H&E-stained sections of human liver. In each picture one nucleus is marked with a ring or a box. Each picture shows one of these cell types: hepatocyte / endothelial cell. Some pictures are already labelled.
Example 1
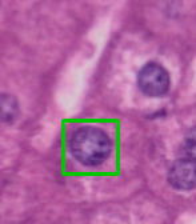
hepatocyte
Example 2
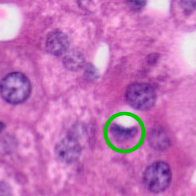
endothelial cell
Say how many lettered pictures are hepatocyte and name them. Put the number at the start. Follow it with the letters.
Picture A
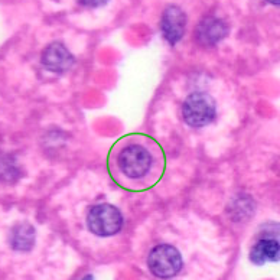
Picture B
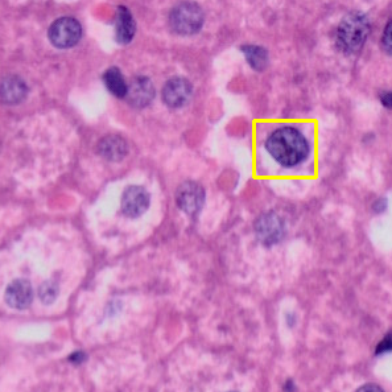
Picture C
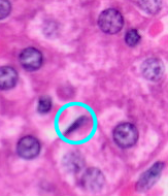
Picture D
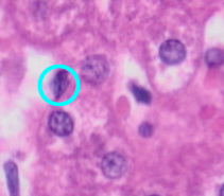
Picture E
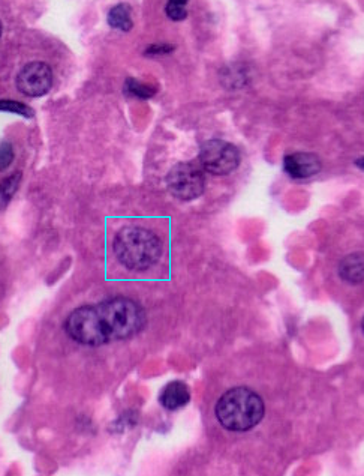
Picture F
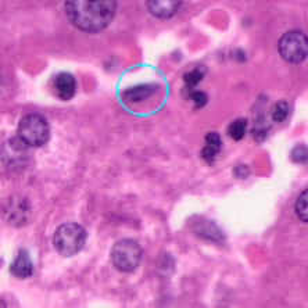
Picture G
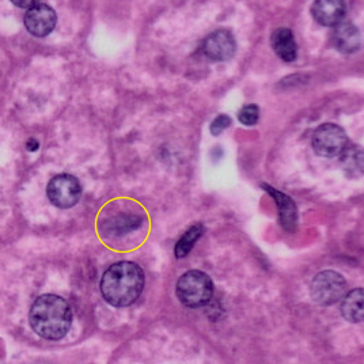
3, namely A, B, E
